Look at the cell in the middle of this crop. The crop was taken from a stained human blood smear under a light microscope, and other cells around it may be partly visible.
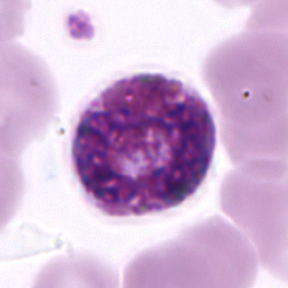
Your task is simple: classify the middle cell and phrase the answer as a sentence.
Of the cells in this crop, the central one is an eosinophil.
